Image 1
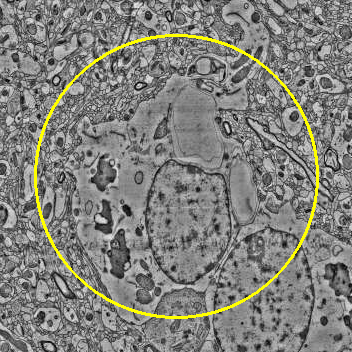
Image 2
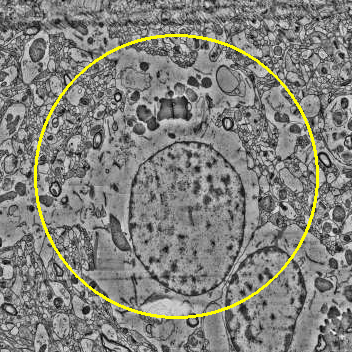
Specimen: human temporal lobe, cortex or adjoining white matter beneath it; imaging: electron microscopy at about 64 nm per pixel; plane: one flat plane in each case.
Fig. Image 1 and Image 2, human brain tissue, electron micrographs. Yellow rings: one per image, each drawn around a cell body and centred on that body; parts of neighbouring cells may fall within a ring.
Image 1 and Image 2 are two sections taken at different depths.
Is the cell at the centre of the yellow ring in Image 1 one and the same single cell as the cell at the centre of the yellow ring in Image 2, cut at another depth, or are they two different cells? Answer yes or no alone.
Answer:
yes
